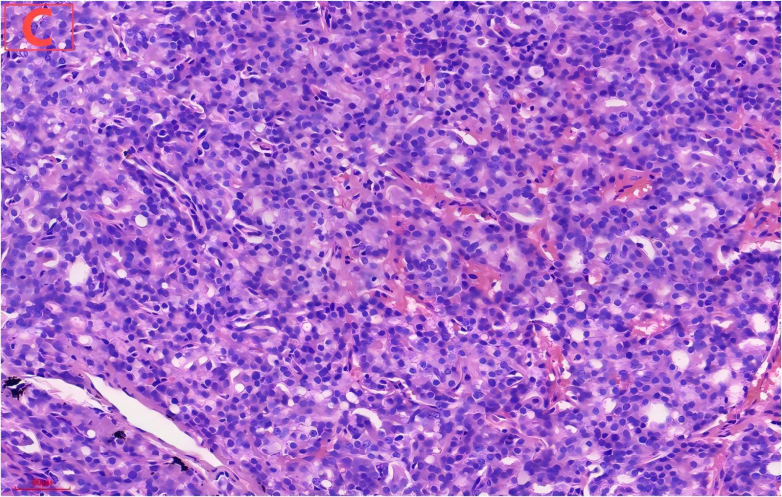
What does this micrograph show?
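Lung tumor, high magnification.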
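Small clear spaces among the cells mark tiny gland lumina, giving a crowded tubular pattern. Thin pink strands of vascular stroma run between the groups of cells. The nuclei are somewhat enlarged and vary modestly in size, showing moderate atypia.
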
